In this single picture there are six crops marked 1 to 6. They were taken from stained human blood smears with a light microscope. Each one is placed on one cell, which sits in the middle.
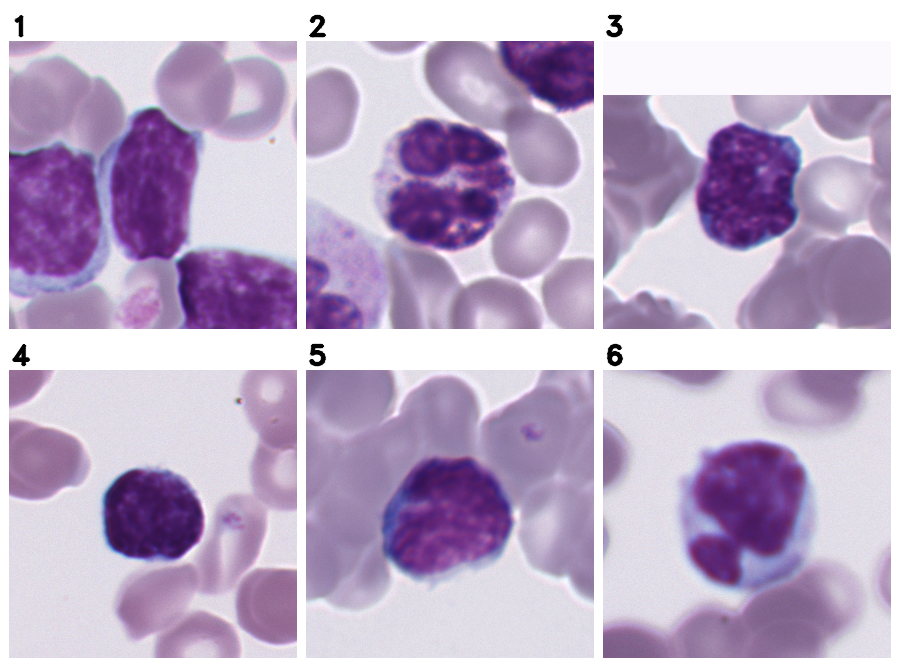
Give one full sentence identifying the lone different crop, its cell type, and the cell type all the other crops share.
Crop 2 is the different one, a basophil, while the rest are typical lymphocytes.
